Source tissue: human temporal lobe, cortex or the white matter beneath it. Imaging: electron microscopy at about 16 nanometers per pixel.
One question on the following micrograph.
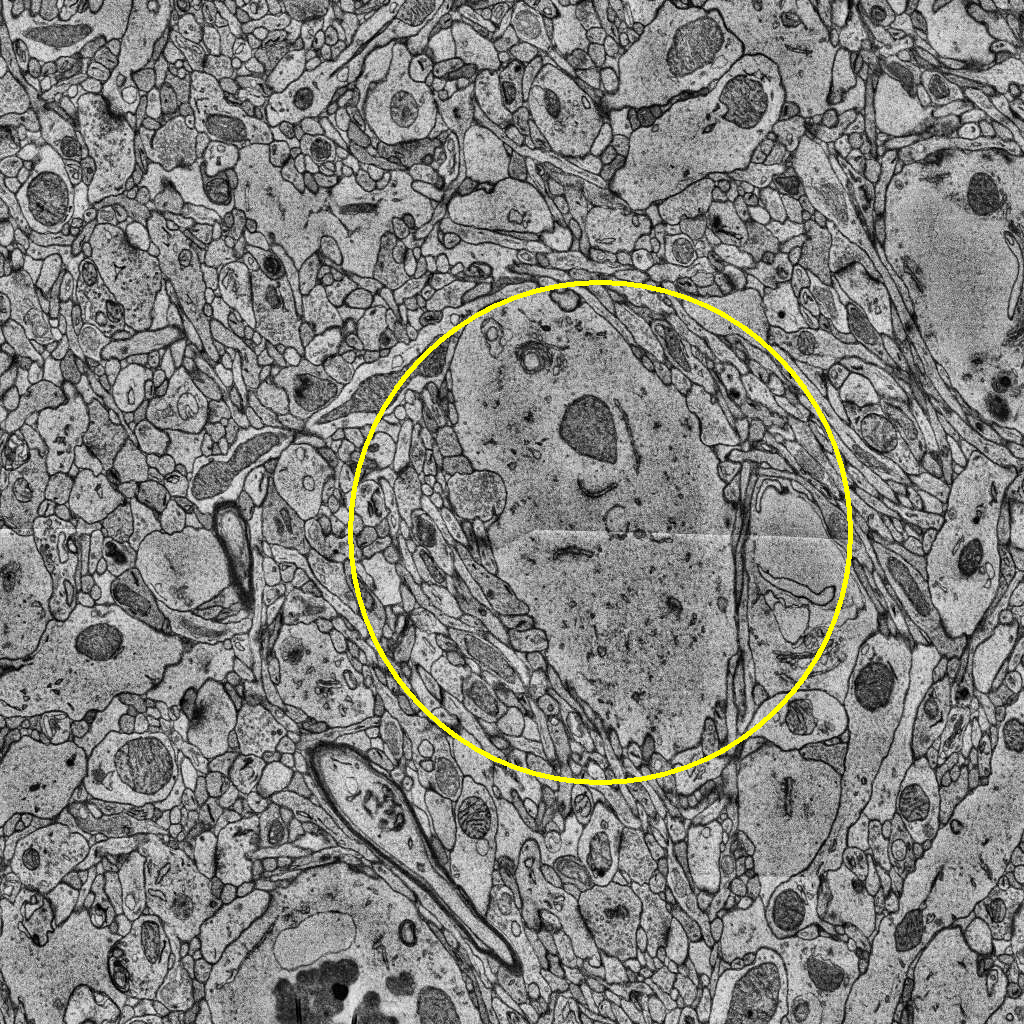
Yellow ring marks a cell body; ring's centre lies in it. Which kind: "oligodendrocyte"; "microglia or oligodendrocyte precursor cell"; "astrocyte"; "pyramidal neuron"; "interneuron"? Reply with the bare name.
astrocyte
